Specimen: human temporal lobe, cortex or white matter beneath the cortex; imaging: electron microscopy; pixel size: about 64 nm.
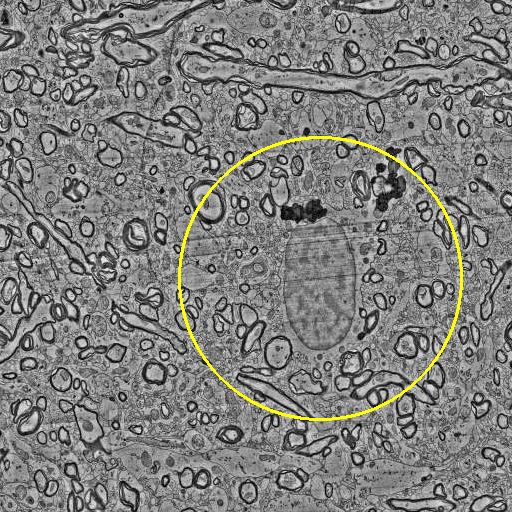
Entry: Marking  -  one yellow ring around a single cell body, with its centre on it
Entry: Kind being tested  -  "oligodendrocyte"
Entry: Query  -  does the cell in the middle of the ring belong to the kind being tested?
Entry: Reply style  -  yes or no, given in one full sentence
Yes, the centred cell within the ring in the picture does belong to the tested kind.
